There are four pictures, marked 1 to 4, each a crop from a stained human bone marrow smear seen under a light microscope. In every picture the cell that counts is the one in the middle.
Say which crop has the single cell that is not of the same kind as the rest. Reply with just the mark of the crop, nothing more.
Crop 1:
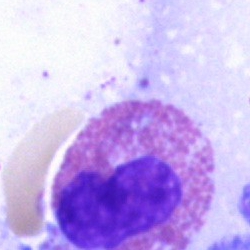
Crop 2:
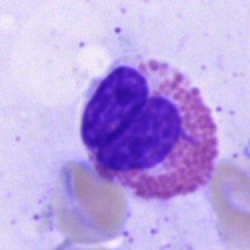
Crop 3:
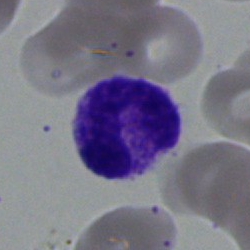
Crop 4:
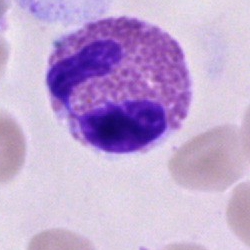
3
